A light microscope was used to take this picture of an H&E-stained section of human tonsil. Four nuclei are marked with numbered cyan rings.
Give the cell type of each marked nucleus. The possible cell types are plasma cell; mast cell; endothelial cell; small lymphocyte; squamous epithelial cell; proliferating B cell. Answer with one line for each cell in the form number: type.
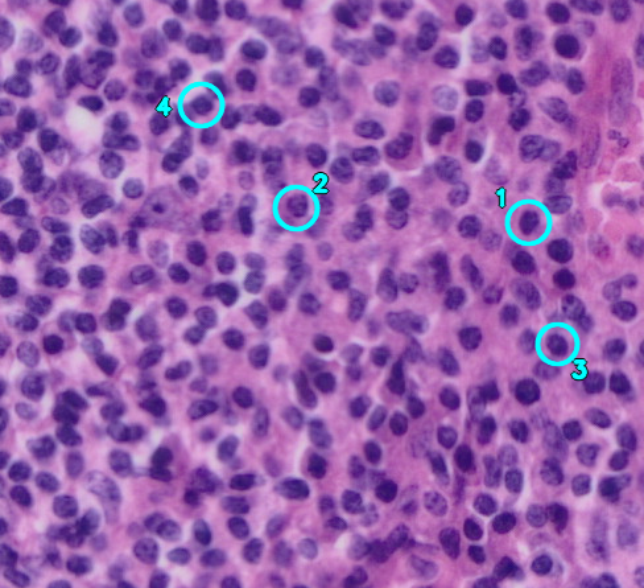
1: plasma cell
2: plasma cell
3: plasma cell
4: small lymphocyte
